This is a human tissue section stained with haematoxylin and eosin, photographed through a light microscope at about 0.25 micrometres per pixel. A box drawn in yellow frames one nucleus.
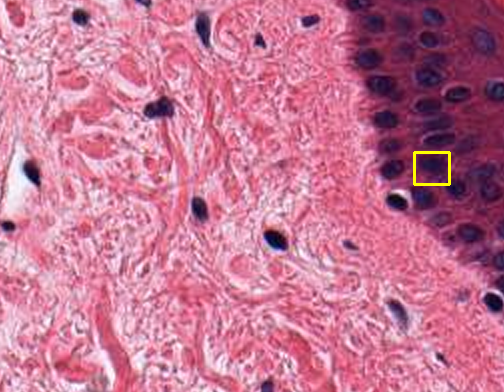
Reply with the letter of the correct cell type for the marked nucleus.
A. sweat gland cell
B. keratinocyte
B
